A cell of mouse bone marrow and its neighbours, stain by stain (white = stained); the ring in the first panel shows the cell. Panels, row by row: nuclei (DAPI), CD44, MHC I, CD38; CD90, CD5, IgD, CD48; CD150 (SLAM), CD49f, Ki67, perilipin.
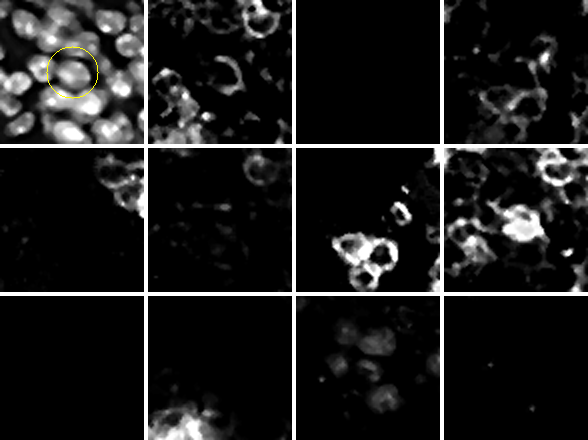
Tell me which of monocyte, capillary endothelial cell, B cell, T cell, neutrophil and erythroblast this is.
The picture shows a monocyte.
